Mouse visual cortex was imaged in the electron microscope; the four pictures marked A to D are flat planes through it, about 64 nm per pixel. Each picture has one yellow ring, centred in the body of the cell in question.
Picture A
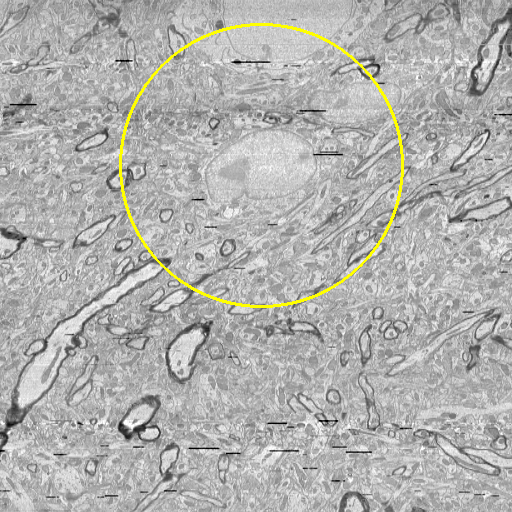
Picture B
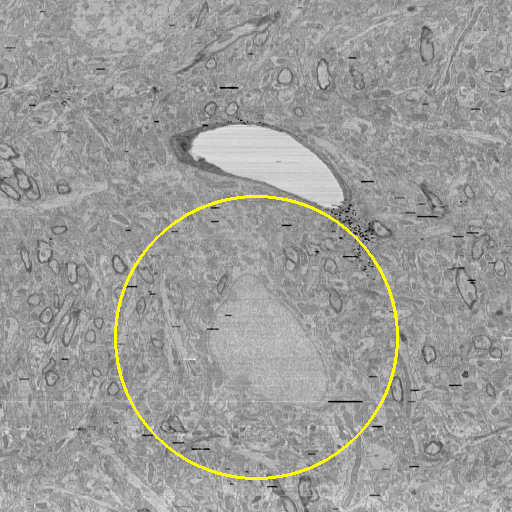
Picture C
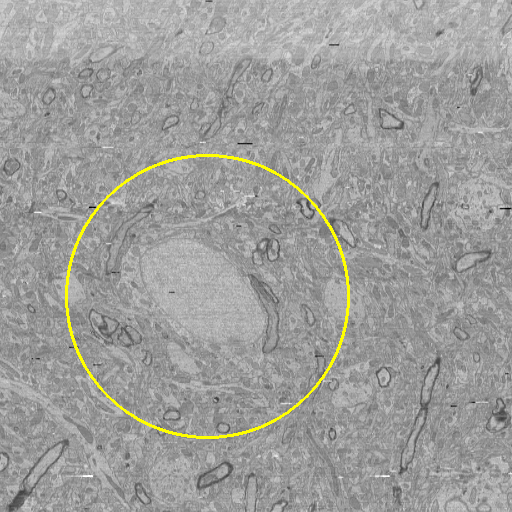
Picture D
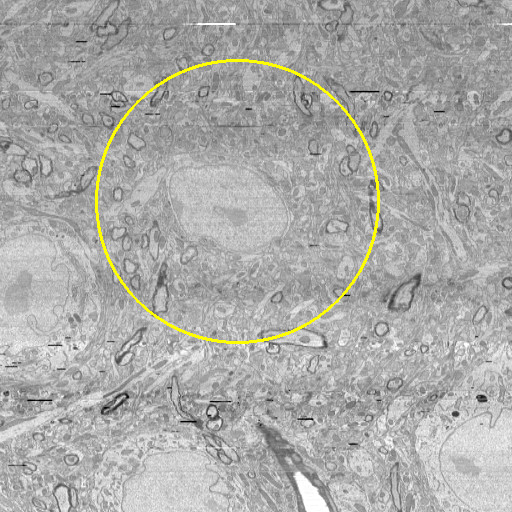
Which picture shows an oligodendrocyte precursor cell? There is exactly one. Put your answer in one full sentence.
The cell in picture D is the oligodendrocyte precursor cell.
